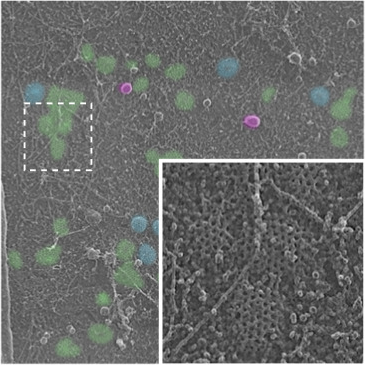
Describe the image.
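The inner face of the plasma membrane of a cultured cell is seen as a grey relief, crossed by thin branching cortical filaments. Many green-tinted patches of clathrin coat, some large and merging, lie scattered over it, with a few smaller blue and magenta rounded coats between them. The magnified inset shows a broad flat honeycomb lattice of small polygonal openings spreading over the membrane beside crossing filaments.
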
